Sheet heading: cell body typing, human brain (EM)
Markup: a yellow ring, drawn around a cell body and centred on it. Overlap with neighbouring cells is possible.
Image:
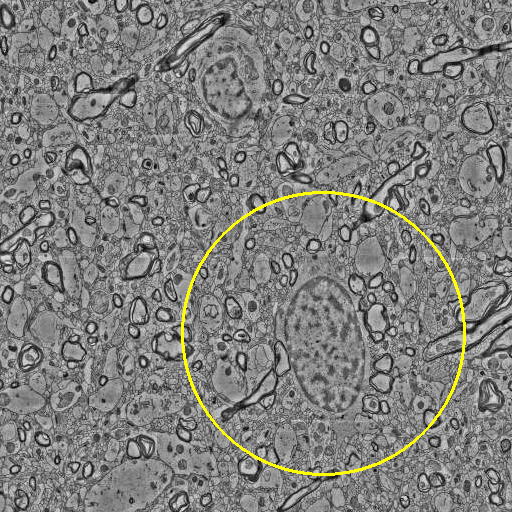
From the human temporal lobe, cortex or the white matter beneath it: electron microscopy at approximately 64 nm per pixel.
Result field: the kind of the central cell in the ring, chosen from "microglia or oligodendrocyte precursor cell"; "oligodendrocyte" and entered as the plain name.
oligodendrocyte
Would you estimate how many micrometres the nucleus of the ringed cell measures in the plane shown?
Roughly 9 by 5 micrometres; in this plane, clearly longer than it is wide.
